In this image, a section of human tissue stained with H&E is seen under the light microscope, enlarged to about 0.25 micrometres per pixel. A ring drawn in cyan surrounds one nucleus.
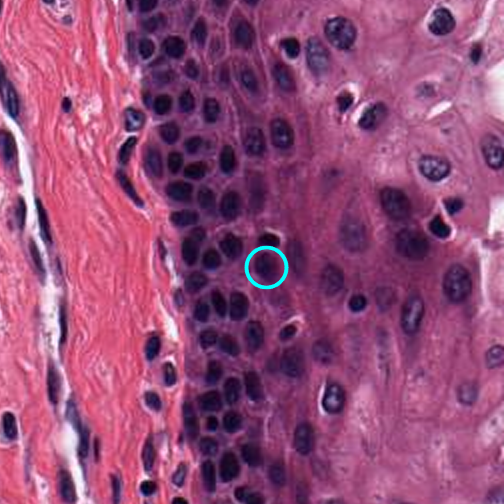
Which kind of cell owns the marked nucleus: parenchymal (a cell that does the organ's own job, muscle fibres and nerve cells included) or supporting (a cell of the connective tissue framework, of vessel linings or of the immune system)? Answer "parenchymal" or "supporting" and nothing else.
parenchymal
